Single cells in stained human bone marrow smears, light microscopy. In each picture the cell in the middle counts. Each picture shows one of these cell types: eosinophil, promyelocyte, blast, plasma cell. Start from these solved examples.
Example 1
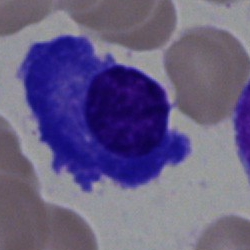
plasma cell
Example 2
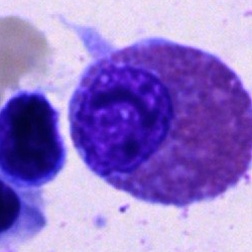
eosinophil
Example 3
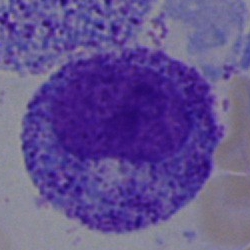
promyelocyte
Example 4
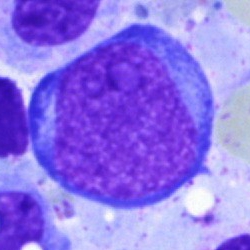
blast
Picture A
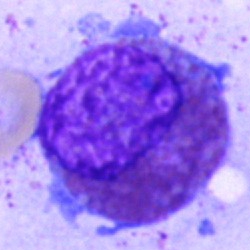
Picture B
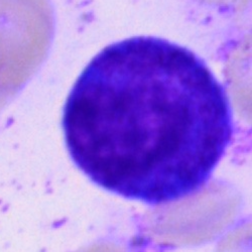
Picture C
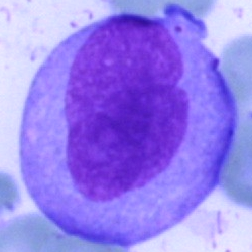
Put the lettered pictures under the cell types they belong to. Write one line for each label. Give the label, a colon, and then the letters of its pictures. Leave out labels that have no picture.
eosinophil: A
promyelocyte: B
blast: C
